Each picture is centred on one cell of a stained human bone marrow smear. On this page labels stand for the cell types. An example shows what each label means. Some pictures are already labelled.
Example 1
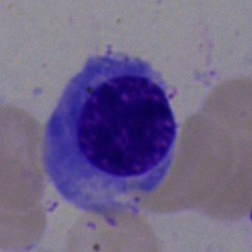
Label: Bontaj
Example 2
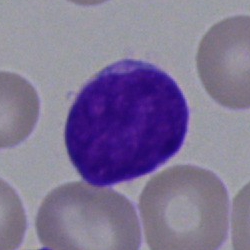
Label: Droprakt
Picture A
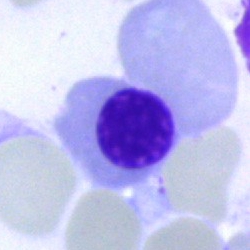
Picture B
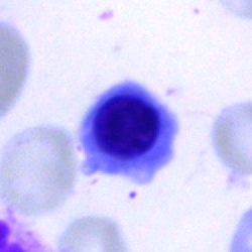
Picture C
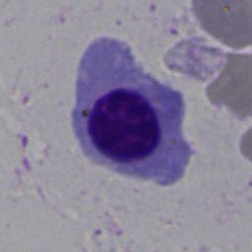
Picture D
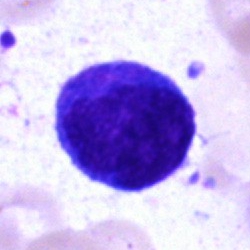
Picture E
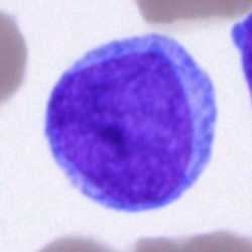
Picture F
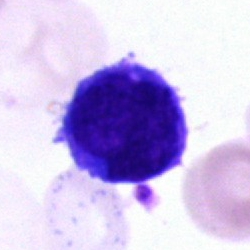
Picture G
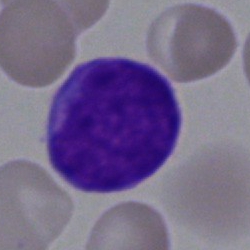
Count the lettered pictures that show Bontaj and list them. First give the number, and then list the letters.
3, namely A, B, C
